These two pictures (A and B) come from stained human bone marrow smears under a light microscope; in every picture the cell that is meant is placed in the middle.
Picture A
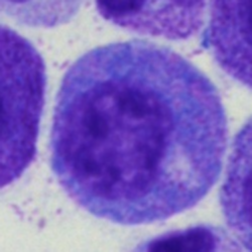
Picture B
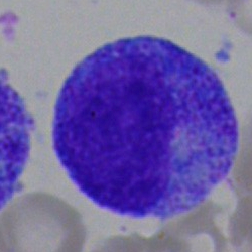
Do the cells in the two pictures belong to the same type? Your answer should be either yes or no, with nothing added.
yes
